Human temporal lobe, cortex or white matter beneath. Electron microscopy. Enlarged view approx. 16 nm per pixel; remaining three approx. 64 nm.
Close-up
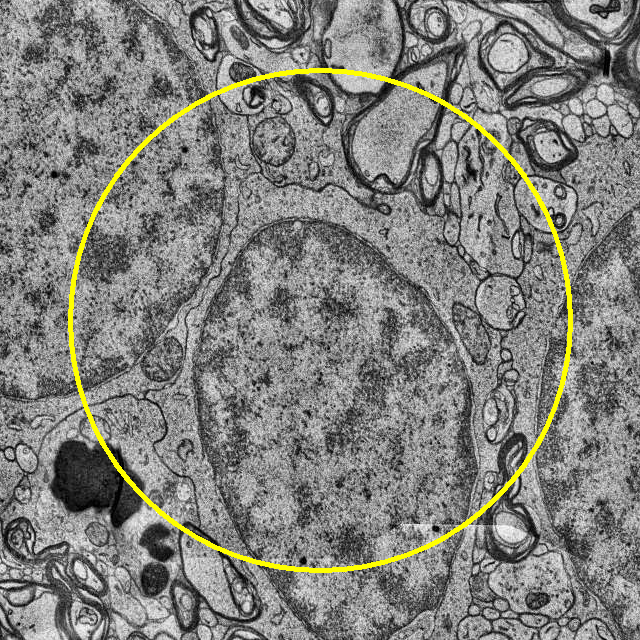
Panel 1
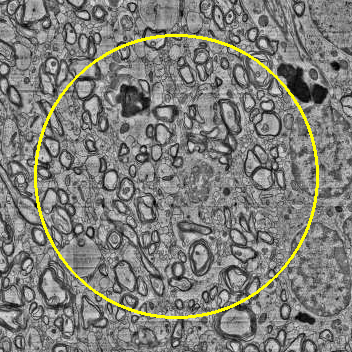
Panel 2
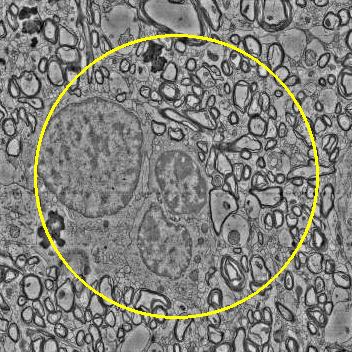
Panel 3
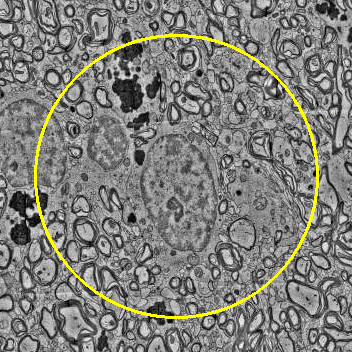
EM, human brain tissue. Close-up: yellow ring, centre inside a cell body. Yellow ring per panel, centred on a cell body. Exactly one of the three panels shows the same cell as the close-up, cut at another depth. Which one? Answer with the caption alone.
Panel 3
